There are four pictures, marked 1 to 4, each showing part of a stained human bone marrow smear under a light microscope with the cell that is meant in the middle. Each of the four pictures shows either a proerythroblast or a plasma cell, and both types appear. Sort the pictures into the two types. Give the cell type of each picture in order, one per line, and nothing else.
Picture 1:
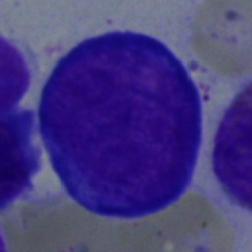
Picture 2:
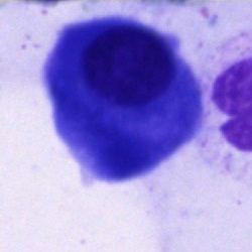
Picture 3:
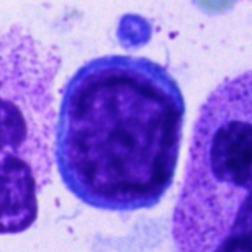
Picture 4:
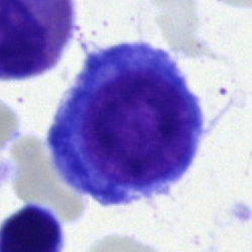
proerythroblast
plasma cell
proerythroblast
proerythroblast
